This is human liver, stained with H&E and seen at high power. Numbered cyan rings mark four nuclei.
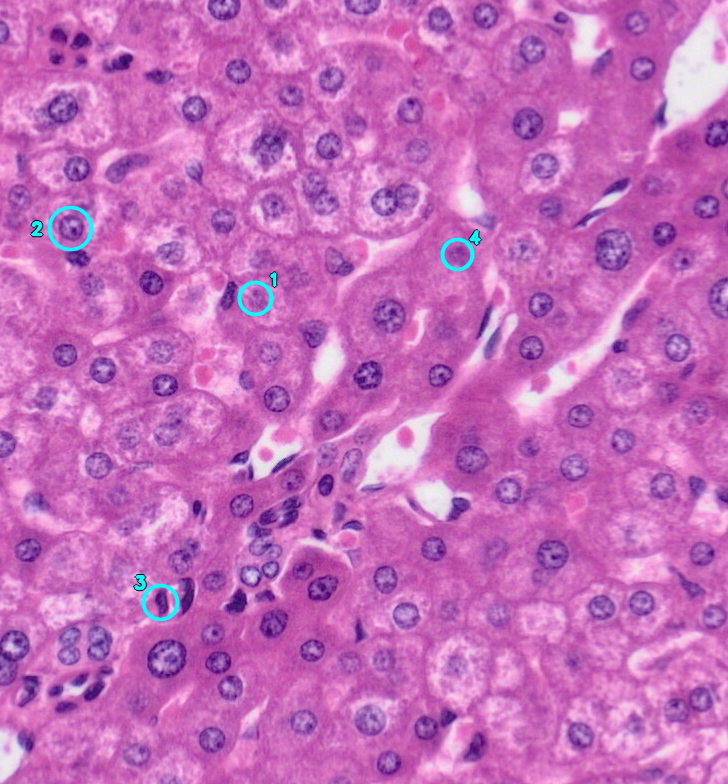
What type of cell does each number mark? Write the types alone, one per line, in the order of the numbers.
hepatocyte
hepatocyte
fibroblast or stellate cell
hepatocyte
